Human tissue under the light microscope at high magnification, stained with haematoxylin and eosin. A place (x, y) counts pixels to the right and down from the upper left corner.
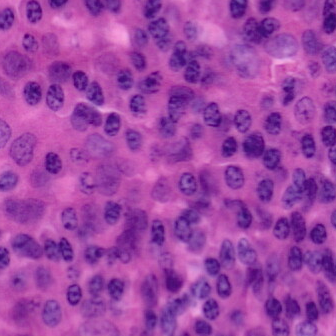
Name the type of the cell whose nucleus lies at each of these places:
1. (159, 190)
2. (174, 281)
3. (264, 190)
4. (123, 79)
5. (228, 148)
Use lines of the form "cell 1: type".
cell 1: squamous epithelial cell
cell 2: squamous epithelial cell
cell 3: plasma cell
cell 4: plasma cell
cell 5: plasma cell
